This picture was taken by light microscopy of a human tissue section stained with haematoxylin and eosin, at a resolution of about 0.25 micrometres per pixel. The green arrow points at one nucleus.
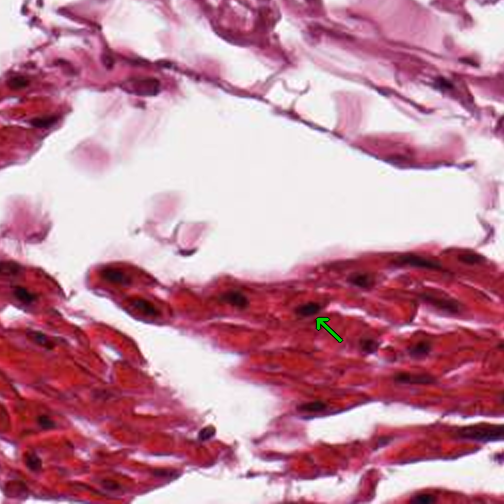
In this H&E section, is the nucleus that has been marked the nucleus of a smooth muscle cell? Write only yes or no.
yes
